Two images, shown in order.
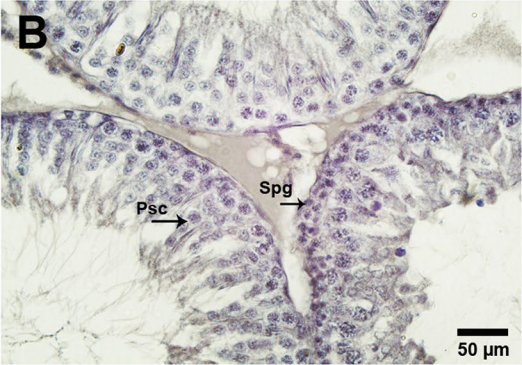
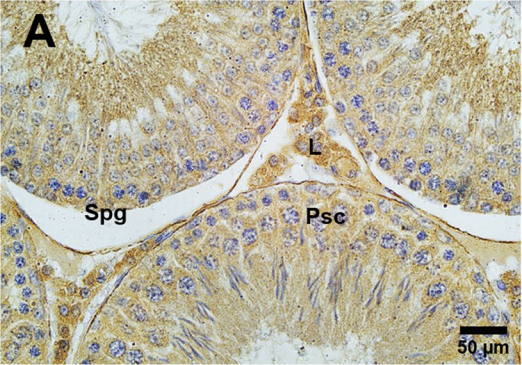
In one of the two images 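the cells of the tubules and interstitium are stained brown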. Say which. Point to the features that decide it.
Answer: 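The second image. Second image: cytoplasm of tubular cells and of interstitial cell clusters is brown around blue nuclei.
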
